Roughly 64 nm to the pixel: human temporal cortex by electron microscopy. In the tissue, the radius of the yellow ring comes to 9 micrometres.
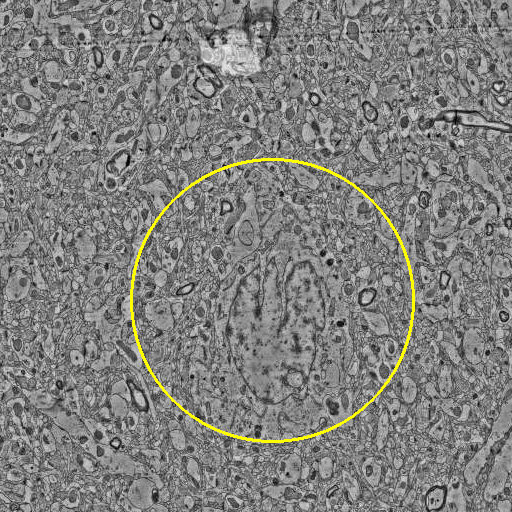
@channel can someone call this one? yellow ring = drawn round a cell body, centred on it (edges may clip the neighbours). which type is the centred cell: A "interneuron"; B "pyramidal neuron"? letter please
A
